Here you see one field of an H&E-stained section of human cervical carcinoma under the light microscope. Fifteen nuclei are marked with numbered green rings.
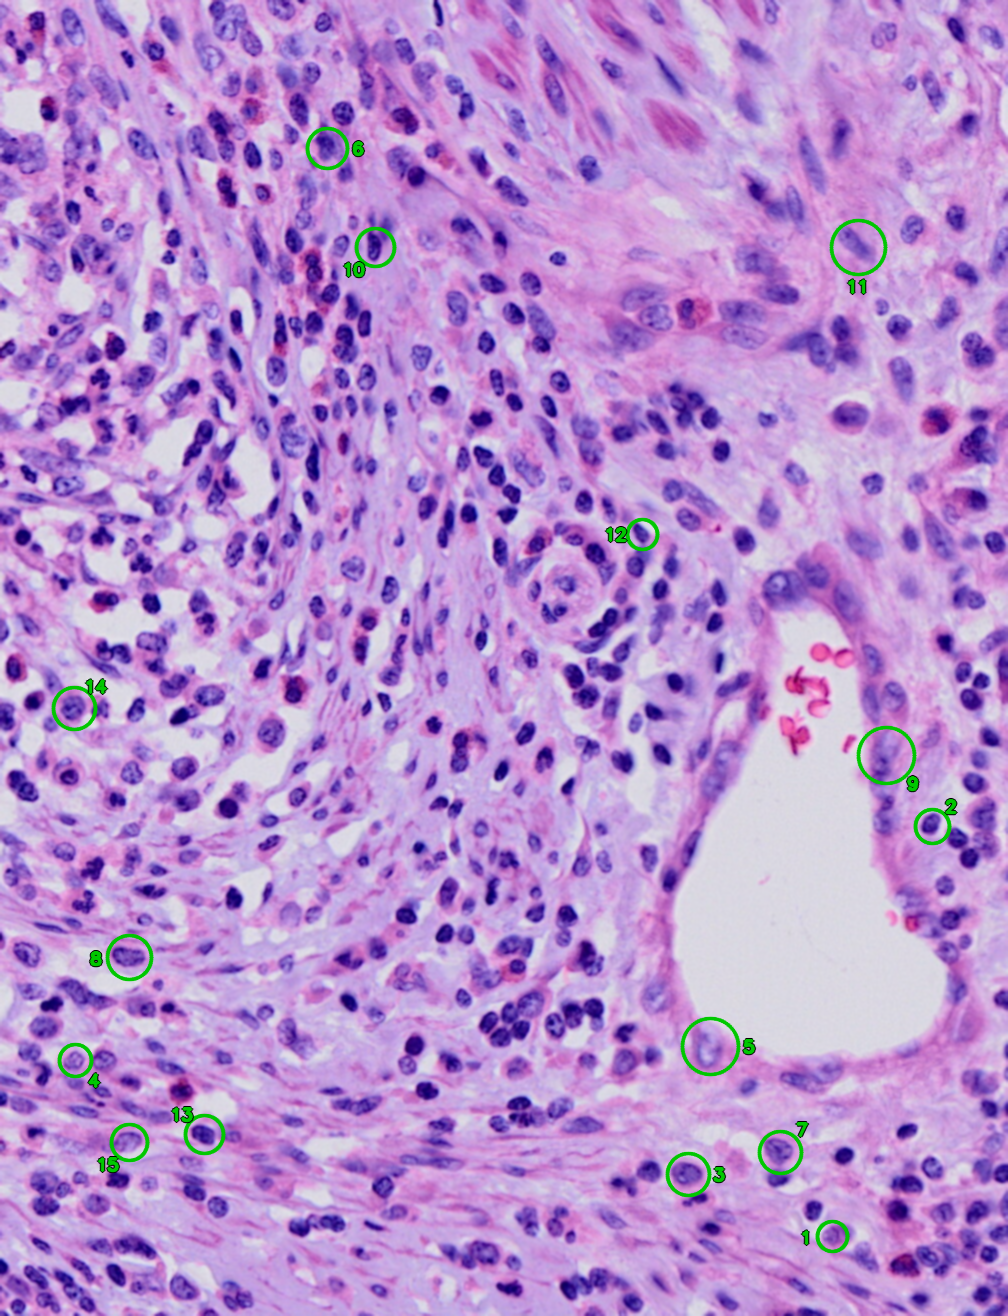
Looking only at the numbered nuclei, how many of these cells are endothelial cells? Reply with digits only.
2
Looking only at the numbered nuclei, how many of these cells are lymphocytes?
5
